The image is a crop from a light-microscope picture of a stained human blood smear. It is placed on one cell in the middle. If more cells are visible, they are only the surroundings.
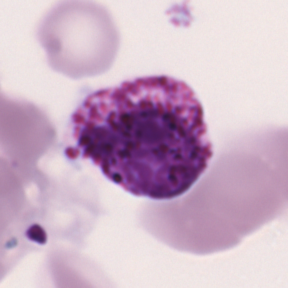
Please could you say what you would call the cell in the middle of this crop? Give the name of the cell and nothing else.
basophil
